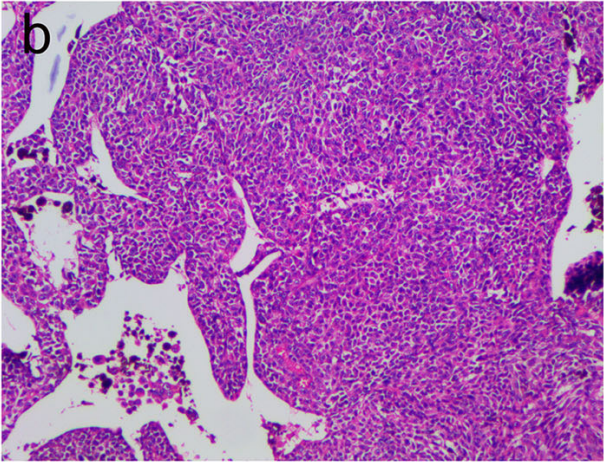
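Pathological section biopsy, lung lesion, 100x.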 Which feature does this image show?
solid short fusiform epithelioid cell nests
